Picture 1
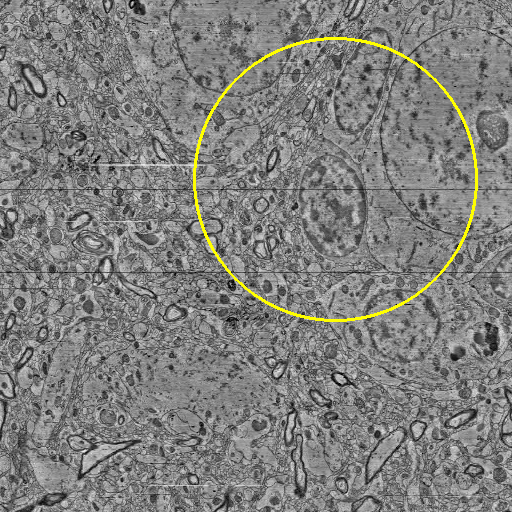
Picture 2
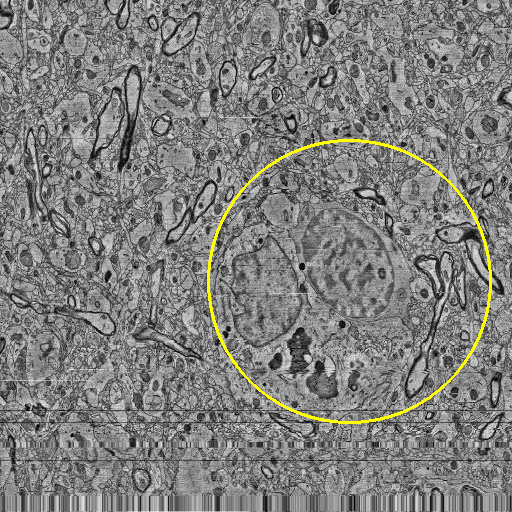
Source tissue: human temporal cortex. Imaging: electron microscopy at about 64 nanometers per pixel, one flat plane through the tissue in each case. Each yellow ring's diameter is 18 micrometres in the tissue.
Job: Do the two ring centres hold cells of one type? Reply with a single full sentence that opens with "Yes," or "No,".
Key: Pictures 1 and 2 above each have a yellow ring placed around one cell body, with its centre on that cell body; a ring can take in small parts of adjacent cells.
Yes, the cells at the two ring centres are of one single type.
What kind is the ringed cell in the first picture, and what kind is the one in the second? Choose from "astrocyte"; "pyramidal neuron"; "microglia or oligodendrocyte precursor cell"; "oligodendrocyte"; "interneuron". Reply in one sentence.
Each one of the two ringed cells is an oligodendrocyte.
